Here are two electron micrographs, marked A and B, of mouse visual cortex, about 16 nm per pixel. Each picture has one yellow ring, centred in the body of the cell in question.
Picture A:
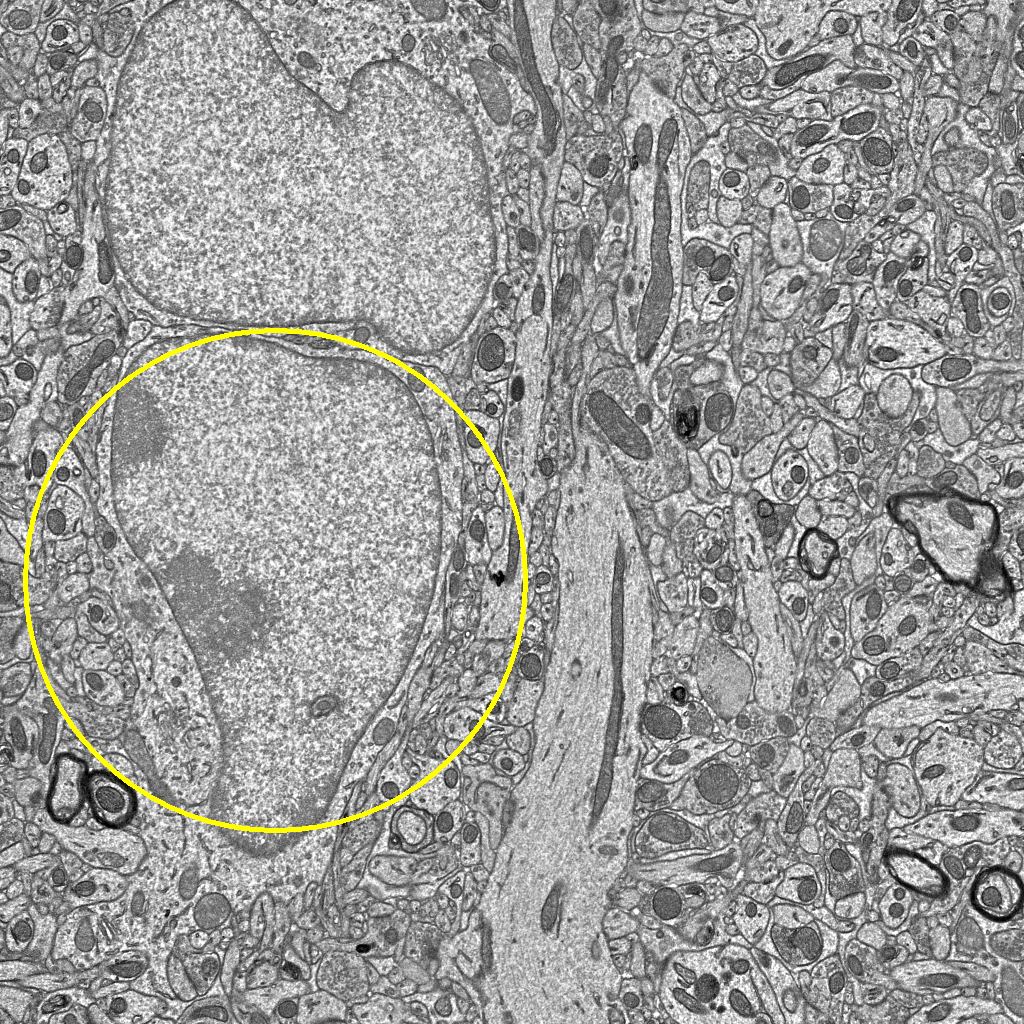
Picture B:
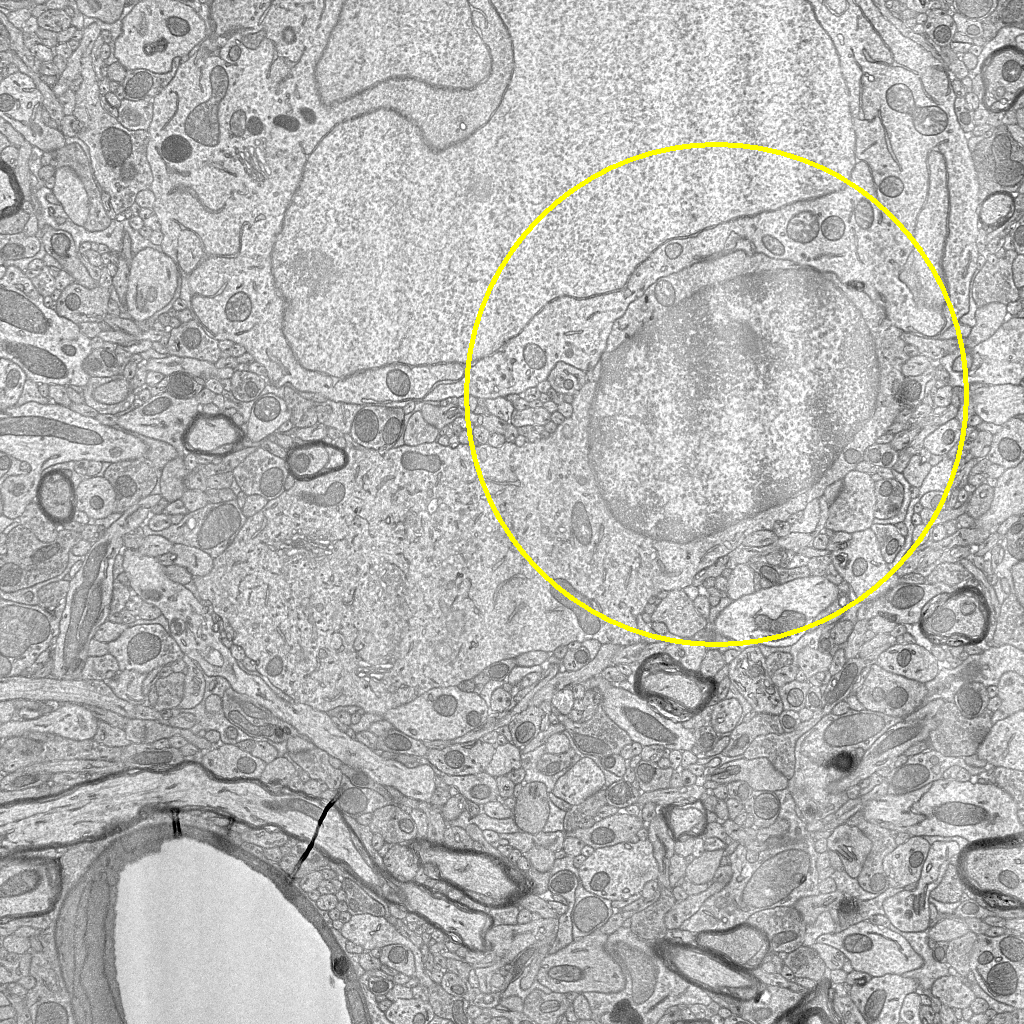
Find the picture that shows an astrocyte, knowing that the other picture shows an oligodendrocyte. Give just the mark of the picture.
A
